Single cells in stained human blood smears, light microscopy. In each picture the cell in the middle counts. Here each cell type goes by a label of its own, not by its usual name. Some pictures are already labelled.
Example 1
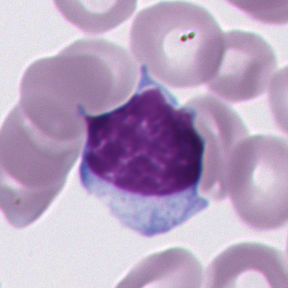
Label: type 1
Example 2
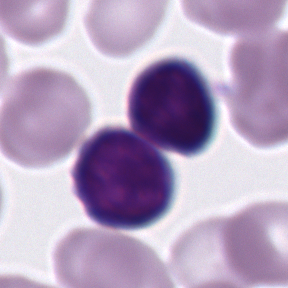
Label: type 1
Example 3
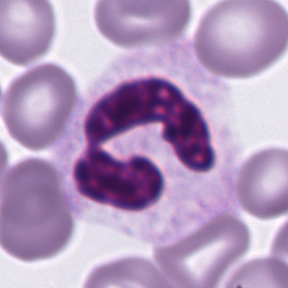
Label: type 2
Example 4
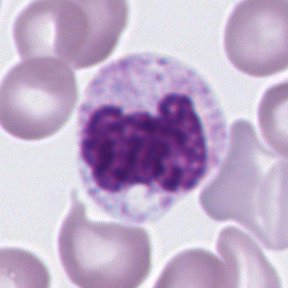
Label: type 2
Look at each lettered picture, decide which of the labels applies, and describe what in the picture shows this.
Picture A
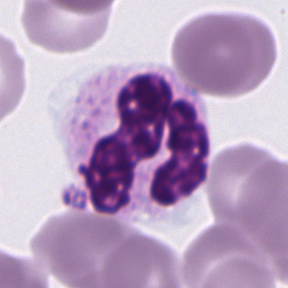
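type 2. The nucleus is divided into two main masses lying side by side.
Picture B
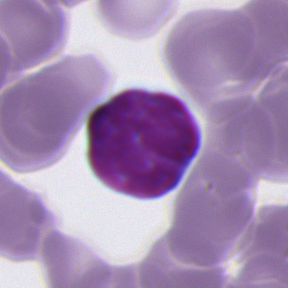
type 1. The nucleus fills almost the whole cell.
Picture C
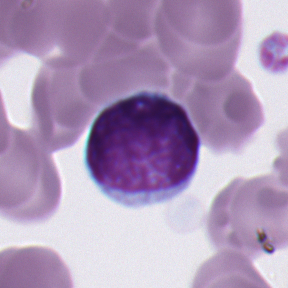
type 1. The cytoplasm forms a thin crescent seen mainly below the nucleus.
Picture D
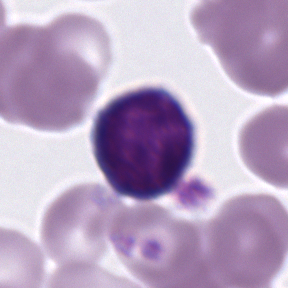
type 1. The nucleus fills almost the whole cell, leaving at most a very thin rim of cytoplasm.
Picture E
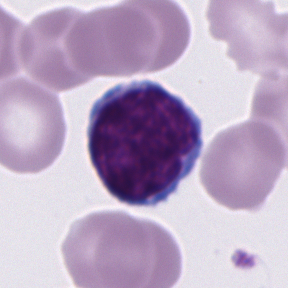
type 1. The cytoplasm forms only a thin rim around the nucleus.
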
